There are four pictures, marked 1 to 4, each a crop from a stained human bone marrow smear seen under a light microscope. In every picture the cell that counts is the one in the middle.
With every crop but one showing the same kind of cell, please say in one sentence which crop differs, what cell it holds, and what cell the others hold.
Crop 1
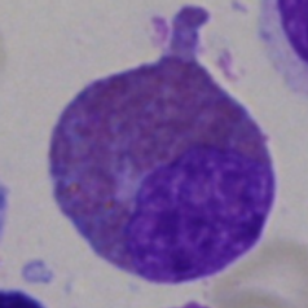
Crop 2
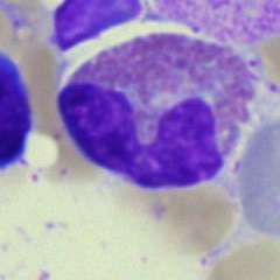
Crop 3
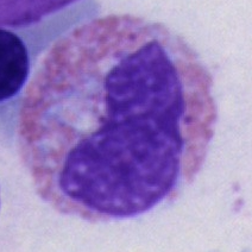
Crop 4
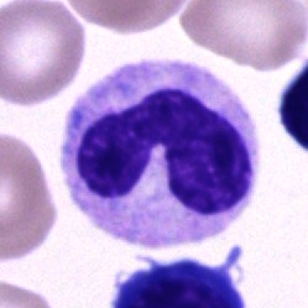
Excluding crop 4, which is a band neutrophil, the crops all show eosinophils.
